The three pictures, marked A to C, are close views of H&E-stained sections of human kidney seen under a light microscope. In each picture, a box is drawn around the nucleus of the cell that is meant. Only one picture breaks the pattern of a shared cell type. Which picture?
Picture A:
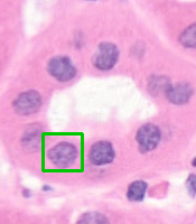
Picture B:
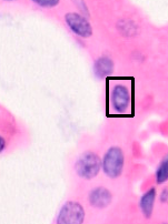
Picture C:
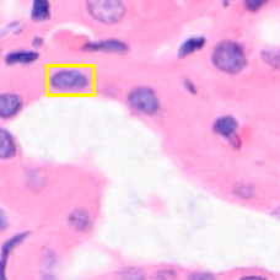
B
